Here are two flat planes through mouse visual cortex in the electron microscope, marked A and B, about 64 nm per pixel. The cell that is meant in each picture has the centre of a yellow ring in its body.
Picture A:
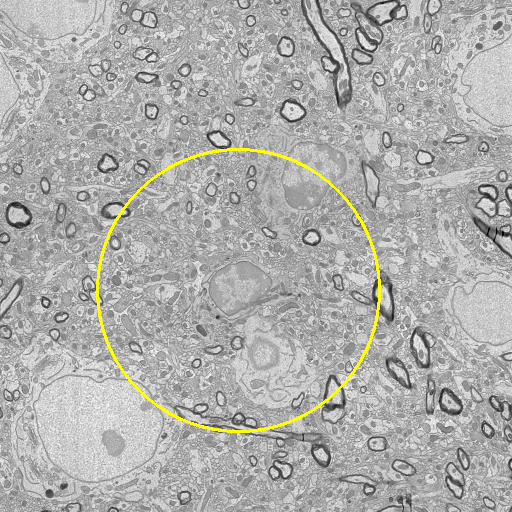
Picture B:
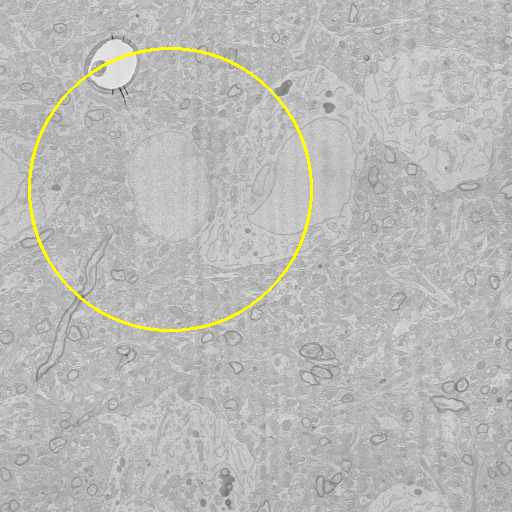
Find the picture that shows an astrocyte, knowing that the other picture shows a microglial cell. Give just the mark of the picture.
B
